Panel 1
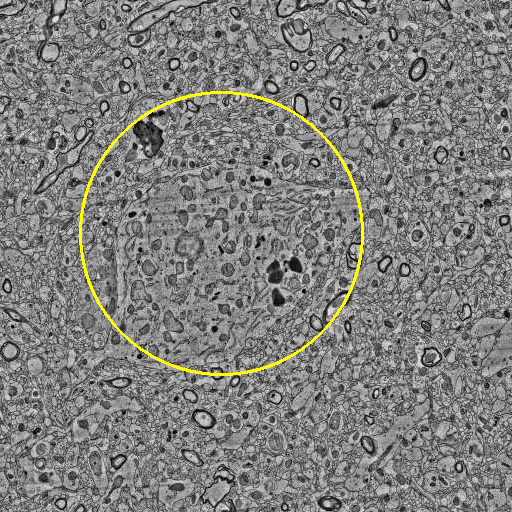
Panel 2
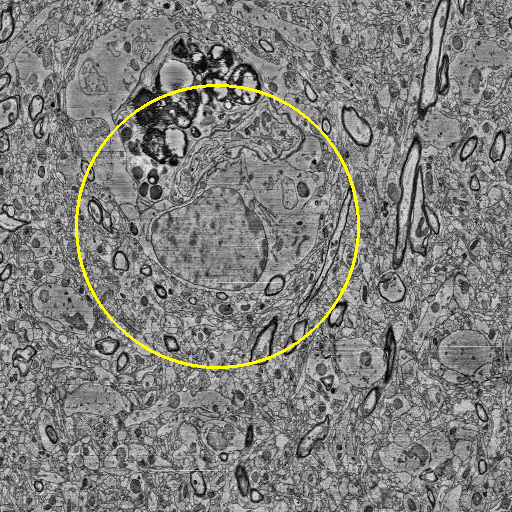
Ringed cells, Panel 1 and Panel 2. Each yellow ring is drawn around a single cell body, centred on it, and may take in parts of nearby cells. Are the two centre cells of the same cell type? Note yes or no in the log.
no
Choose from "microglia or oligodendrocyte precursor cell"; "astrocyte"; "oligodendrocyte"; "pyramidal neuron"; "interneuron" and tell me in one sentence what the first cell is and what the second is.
What the first ring is centred on is an interneuron; what the second ring is centred on is a microglial cell or oligodendrocyte precursor cell.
